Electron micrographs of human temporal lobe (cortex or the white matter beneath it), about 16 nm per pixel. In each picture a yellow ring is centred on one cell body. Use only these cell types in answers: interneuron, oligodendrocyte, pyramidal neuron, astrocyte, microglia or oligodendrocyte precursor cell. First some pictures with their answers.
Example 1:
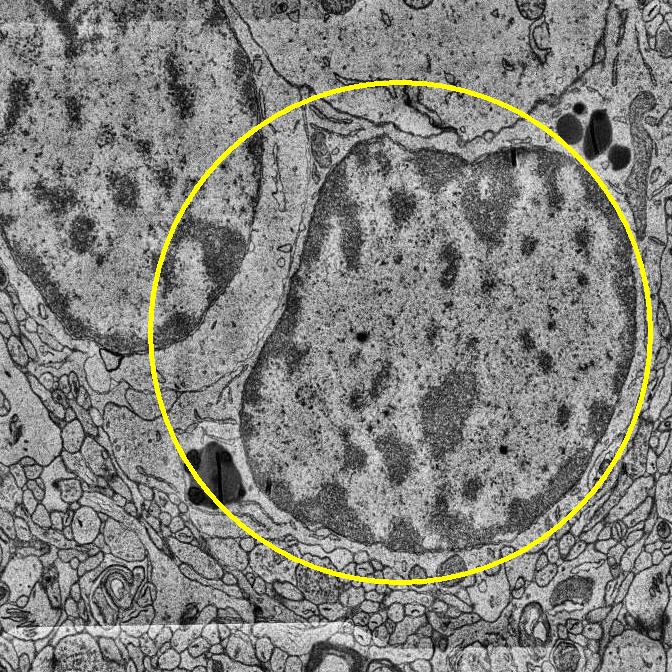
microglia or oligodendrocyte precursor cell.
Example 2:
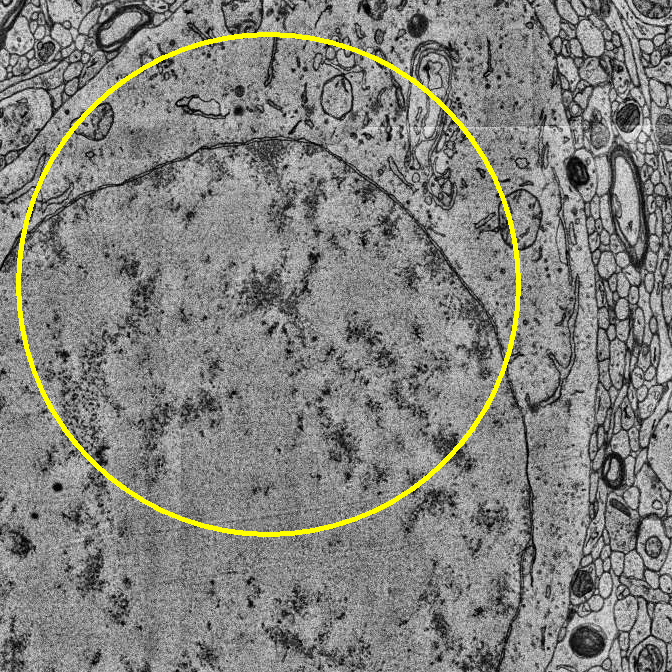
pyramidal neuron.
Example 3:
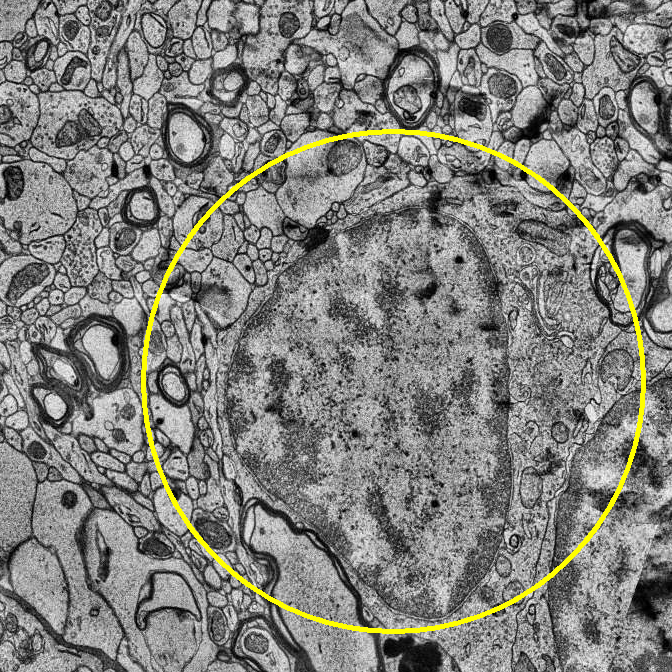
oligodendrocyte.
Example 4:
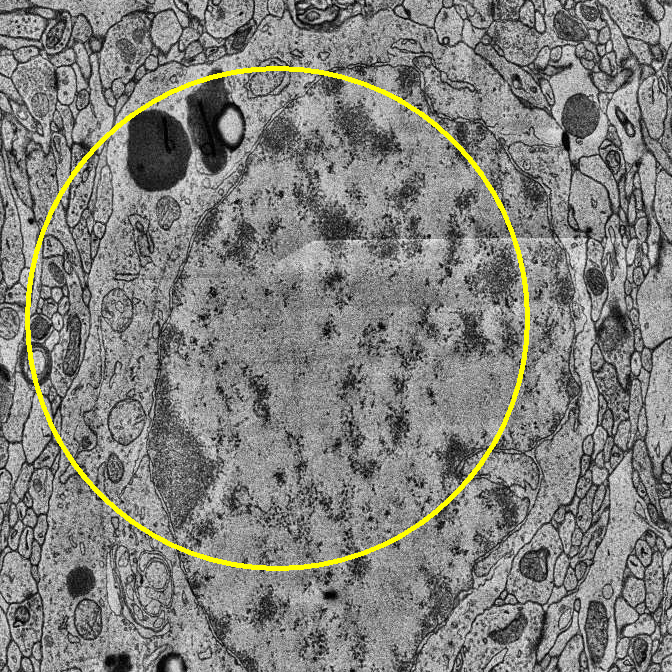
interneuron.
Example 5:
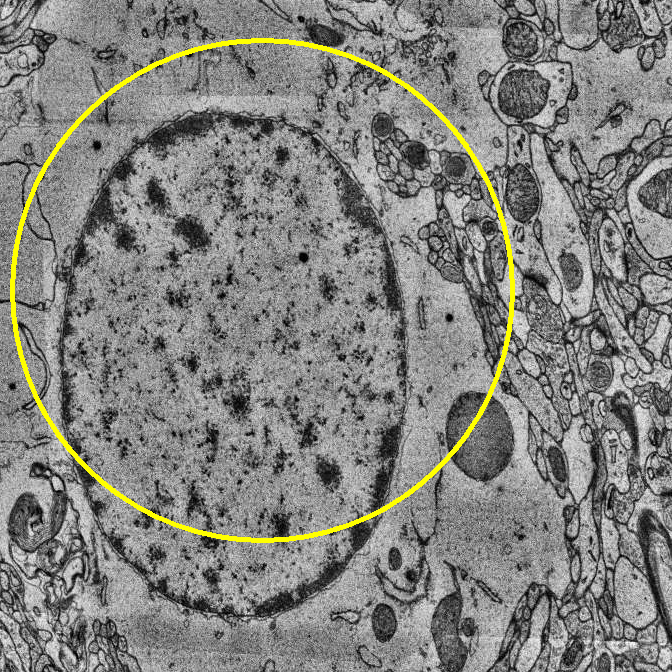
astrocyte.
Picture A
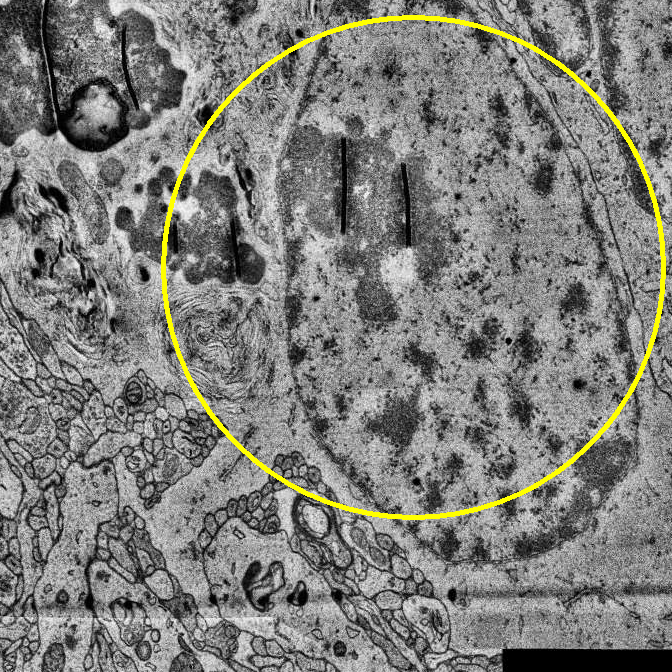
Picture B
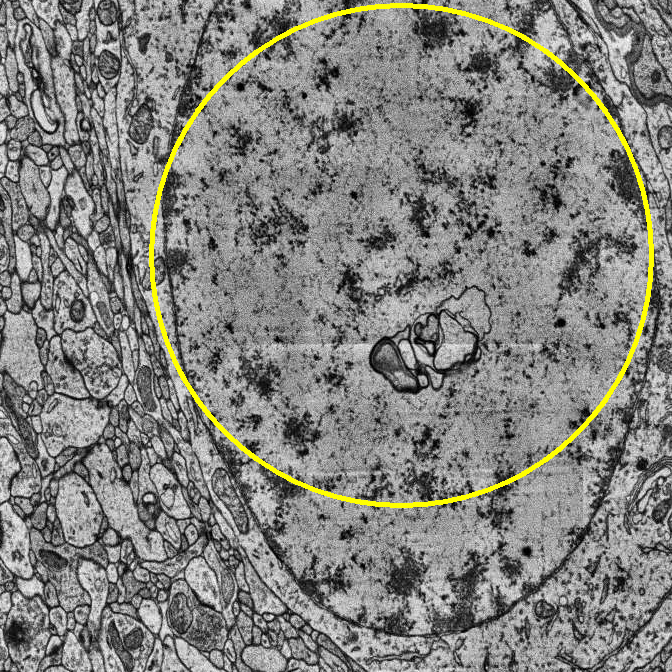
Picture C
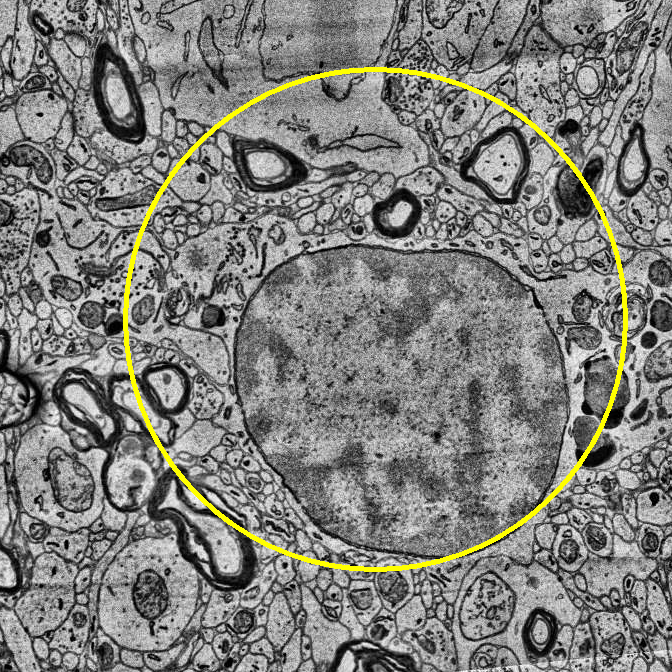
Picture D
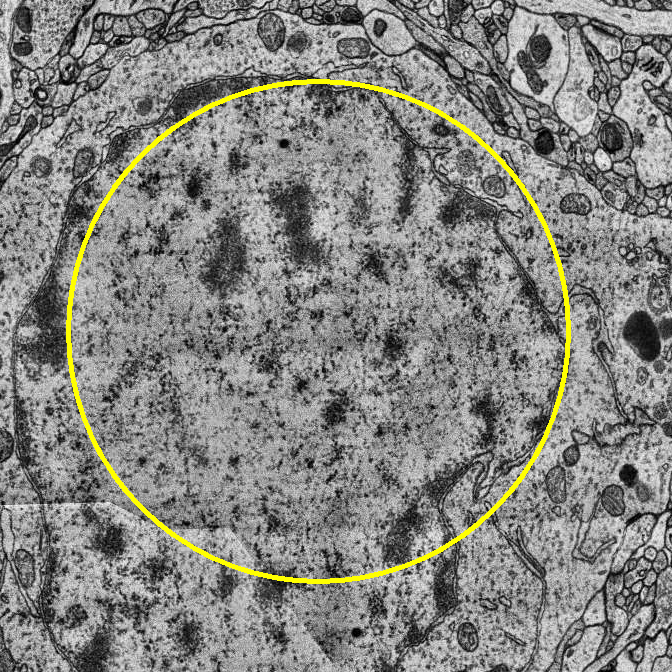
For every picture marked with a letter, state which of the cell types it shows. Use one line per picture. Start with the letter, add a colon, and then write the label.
A: astrocyte.
B: pyramidal neuron.
C: microglia or oligodendrocyte precursor cell.
D: interneuron.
